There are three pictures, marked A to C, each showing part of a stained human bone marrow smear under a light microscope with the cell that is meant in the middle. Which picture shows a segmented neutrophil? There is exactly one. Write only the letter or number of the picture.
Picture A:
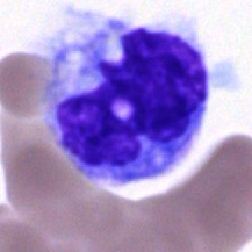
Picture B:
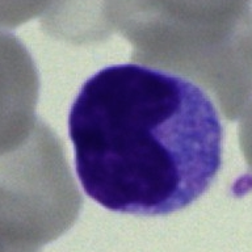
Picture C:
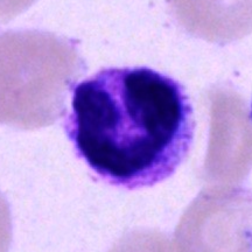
C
